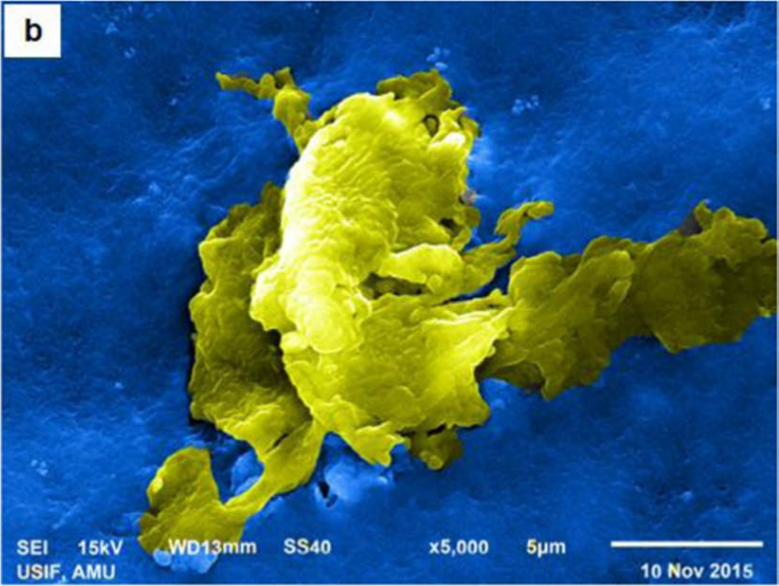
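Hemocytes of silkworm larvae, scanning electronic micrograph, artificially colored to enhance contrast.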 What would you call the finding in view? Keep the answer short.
Disruption of cell membranes.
